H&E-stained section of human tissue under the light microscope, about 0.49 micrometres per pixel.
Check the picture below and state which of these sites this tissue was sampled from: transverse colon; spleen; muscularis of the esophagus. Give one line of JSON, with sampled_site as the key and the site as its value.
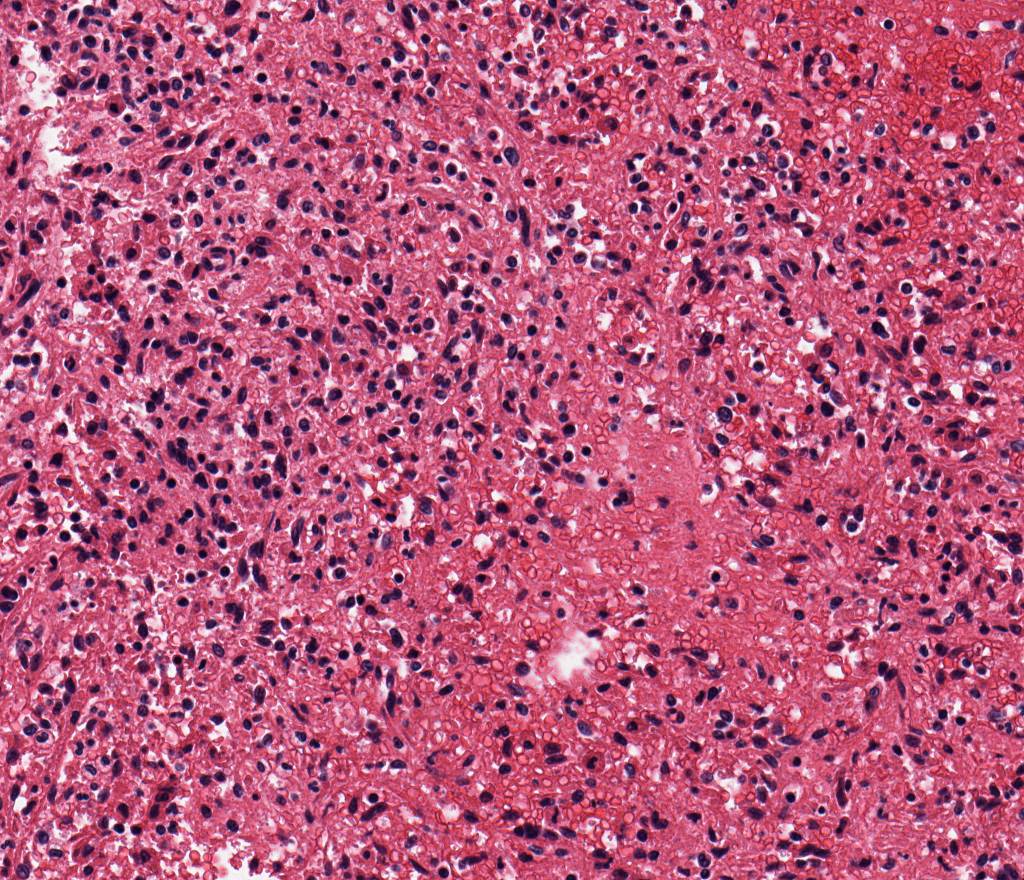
{"sampled_site": "spleen"}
